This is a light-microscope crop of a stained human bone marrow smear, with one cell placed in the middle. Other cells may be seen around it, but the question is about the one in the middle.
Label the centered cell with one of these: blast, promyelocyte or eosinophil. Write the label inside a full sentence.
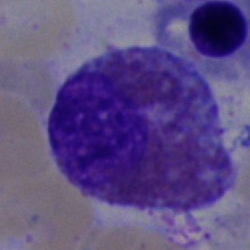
What the crop centres on is an eosinophil.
